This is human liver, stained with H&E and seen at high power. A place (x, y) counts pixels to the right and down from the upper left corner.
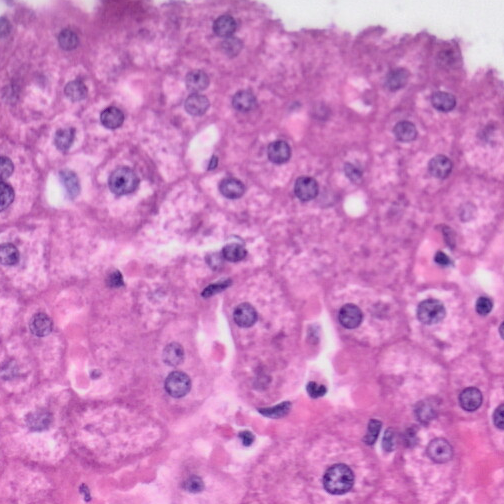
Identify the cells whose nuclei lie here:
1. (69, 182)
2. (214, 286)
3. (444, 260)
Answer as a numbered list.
1. Kupffer cell
2. fibroblast or stellate cell
3. lymphocyte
